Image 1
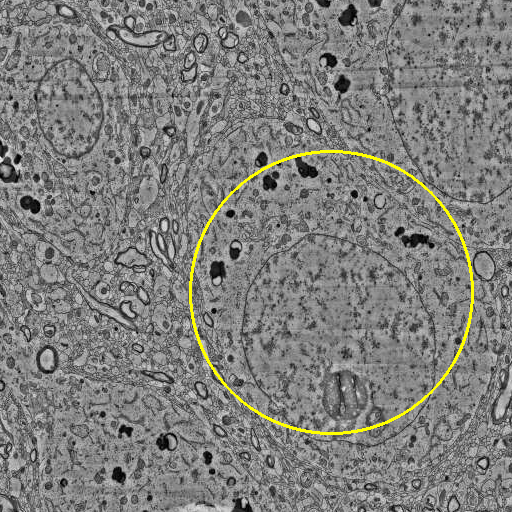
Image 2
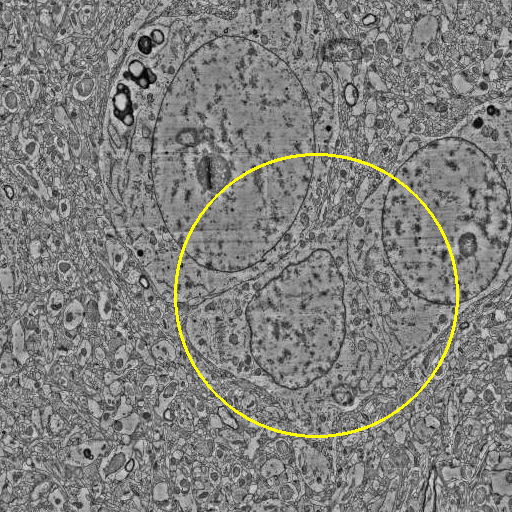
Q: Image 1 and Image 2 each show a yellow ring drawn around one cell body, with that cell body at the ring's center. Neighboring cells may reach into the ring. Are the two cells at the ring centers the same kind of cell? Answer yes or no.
yes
